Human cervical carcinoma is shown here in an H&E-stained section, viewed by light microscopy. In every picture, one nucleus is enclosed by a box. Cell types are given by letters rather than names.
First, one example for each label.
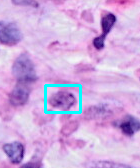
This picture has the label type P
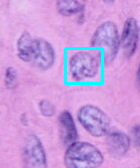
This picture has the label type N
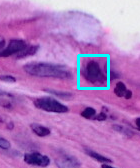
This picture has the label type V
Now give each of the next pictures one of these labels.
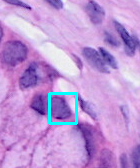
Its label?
type V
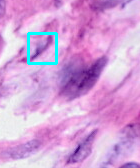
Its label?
type P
